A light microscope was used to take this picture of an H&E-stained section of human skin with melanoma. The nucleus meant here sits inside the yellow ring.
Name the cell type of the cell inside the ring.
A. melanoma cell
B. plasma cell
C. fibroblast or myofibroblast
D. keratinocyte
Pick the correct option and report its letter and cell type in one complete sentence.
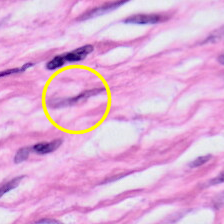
Identified correctly by option C, the cell inside the ring is a fibroblast or myofibroblast.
